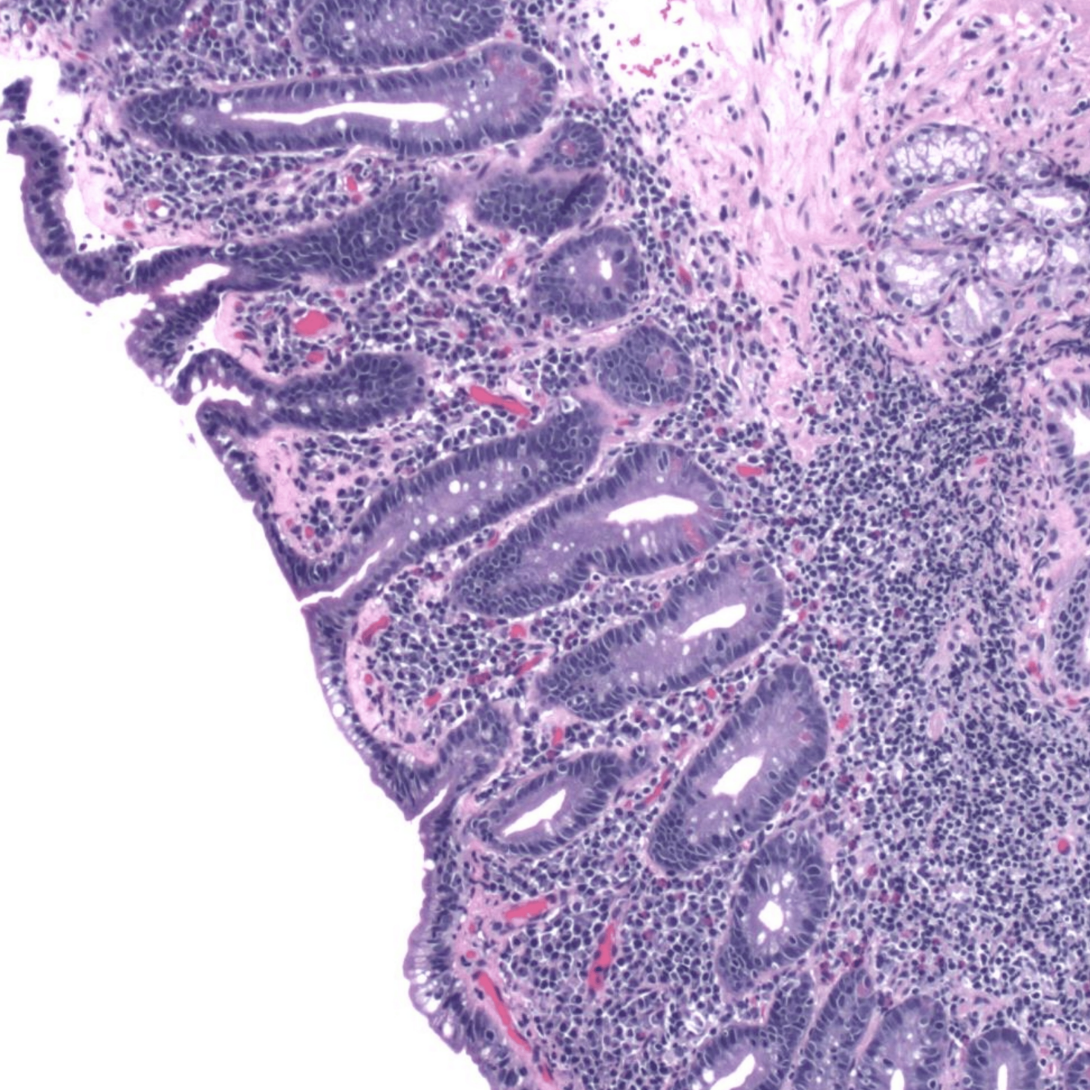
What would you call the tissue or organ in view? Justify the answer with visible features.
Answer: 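Crypts lined by columnar epithelium lie along the surface. Pale mucous glands lie in pink fibrous tissue at the upper right, beneath the mucosa.
Hence: duodenal mucosa.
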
